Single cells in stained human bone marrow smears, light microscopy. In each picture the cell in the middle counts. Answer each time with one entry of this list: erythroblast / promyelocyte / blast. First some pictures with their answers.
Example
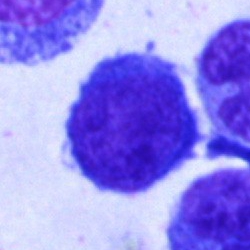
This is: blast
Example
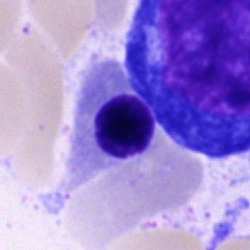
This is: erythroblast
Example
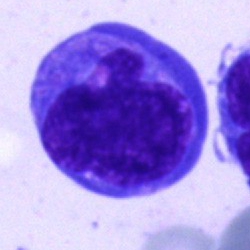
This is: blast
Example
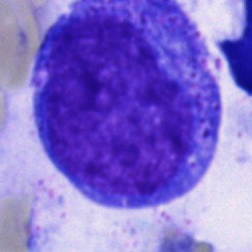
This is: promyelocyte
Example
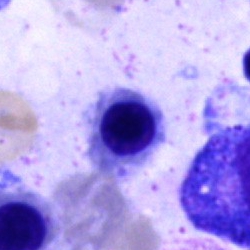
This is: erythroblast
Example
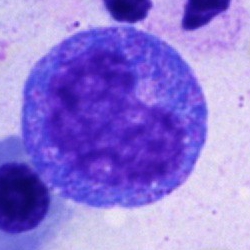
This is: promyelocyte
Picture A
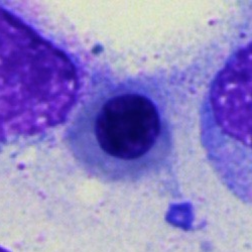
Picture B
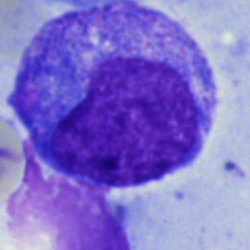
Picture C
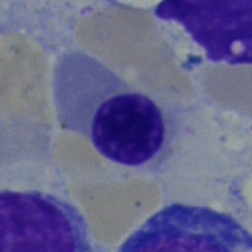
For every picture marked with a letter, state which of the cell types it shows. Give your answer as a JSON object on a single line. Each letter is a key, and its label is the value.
{"A": "erythroblast", "B": "promyelocyte", "C": "erythroblast"}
